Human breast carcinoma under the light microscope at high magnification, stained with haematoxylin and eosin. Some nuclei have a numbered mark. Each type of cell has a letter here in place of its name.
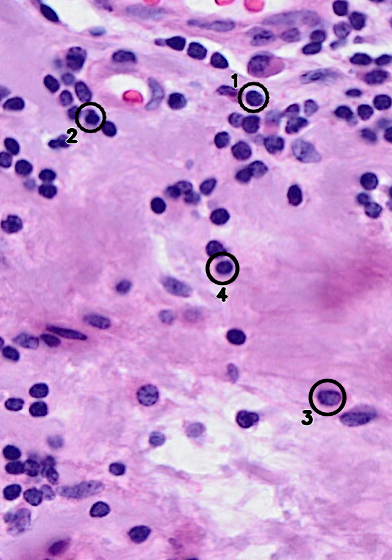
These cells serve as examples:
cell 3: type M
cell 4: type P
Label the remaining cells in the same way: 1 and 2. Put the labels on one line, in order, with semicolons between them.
type P; type P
